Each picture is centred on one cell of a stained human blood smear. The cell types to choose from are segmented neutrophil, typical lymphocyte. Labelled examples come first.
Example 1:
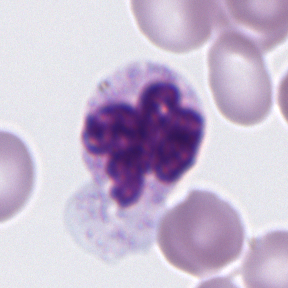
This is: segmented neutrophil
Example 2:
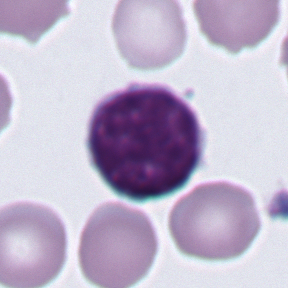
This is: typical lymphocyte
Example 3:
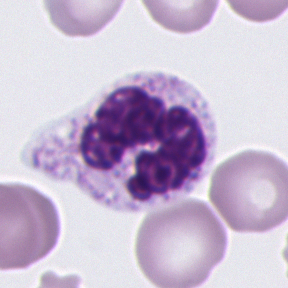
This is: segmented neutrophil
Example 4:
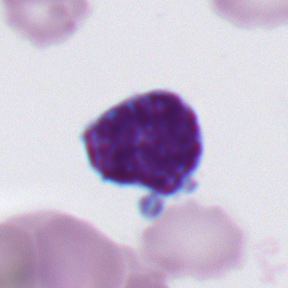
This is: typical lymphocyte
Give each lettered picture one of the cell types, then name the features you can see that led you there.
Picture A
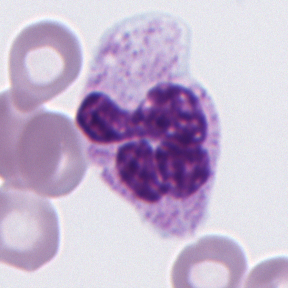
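segmented neutrophil. The cytoplasm is plentiful and pale lilac-grey.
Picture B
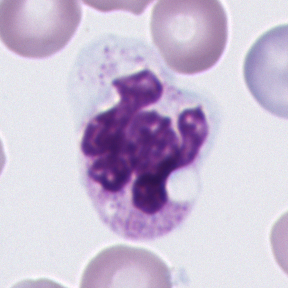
segmented neutrophil. The nucleus forms several bulky lobes crowded together rather than joined by thin threads.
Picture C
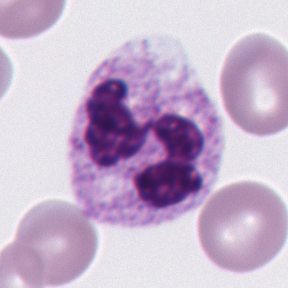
segmented neutrophil. The nucleus is split into three lobes.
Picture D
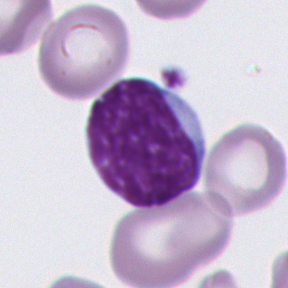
typical lymphocyte. The nucleus fills most of the cell.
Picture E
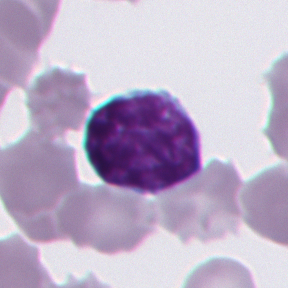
typical lymphocyte. The nucleus is a single, unlobed mass.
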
